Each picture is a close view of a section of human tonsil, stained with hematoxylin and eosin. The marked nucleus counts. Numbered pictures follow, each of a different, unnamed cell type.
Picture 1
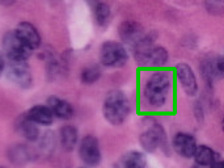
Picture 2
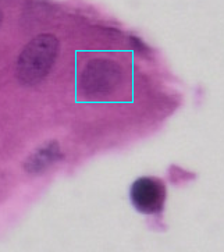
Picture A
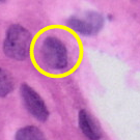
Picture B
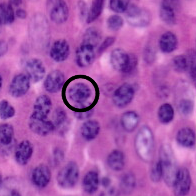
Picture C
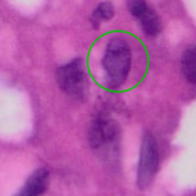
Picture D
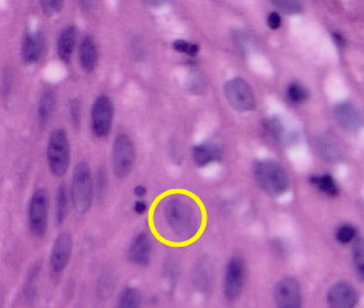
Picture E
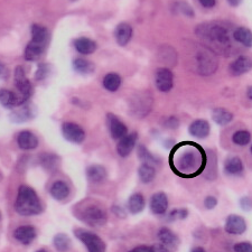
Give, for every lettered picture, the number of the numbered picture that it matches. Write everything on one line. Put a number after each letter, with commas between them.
A 2, B 1, C 2, D 2, E 1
